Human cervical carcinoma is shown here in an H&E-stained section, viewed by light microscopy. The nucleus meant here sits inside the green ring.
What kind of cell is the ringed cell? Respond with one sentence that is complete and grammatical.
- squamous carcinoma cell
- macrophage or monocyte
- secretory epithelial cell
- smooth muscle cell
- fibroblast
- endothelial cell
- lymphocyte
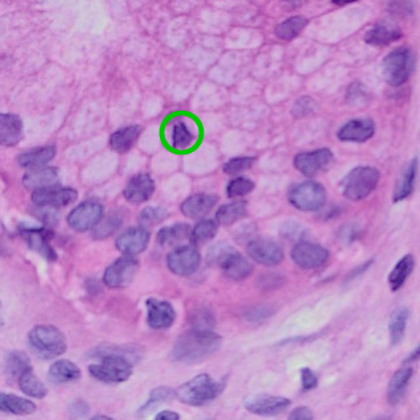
Students should answer that the ringed cell is a secretory epithelial cell.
